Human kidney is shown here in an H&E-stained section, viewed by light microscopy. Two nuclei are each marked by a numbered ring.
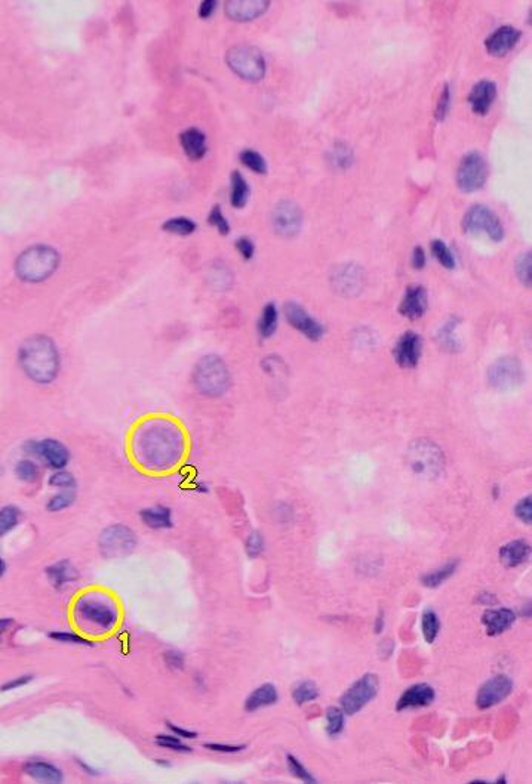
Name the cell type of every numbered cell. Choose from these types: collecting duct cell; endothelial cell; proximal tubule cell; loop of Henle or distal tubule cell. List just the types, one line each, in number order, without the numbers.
loop of Henle or distal tubule cell
proximal tubule cell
